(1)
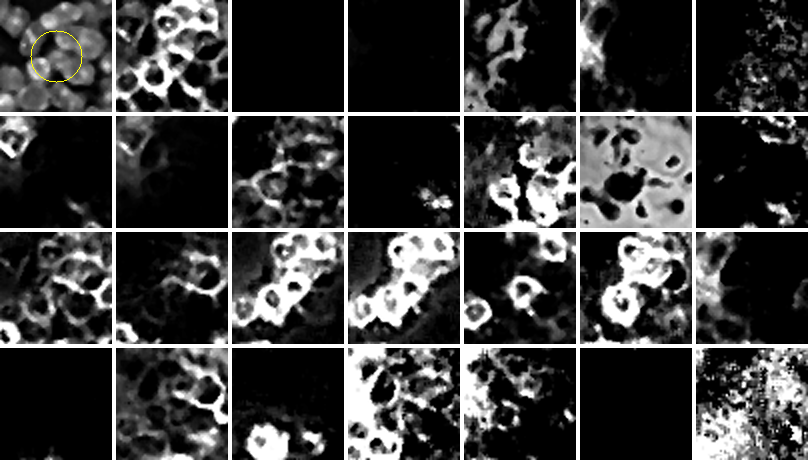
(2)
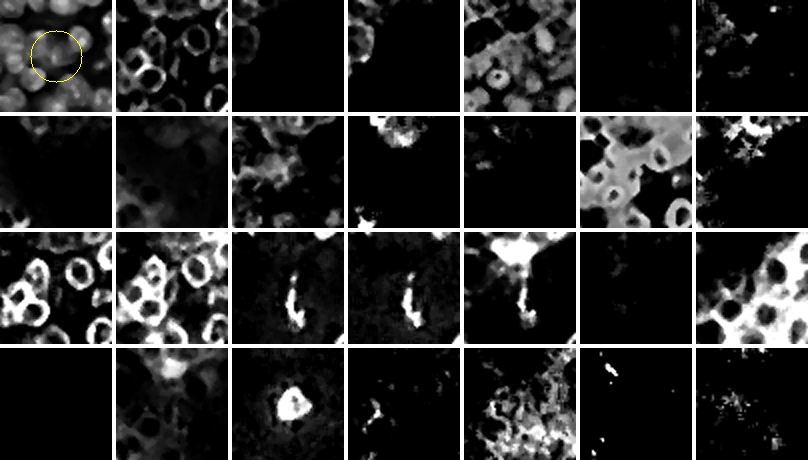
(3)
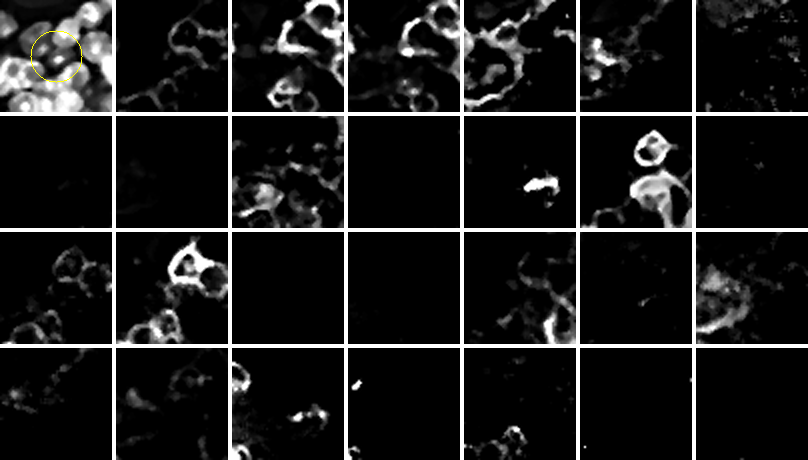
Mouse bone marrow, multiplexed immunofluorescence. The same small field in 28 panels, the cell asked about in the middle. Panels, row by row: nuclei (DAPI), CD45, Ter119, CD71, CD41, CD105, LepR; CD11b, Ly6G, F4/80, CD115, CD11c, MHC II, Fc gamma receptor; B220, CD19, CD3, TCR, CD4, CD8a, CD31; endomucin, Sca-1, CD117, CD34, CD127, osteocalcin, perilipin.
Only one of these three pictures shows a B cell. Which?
Picture 1.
